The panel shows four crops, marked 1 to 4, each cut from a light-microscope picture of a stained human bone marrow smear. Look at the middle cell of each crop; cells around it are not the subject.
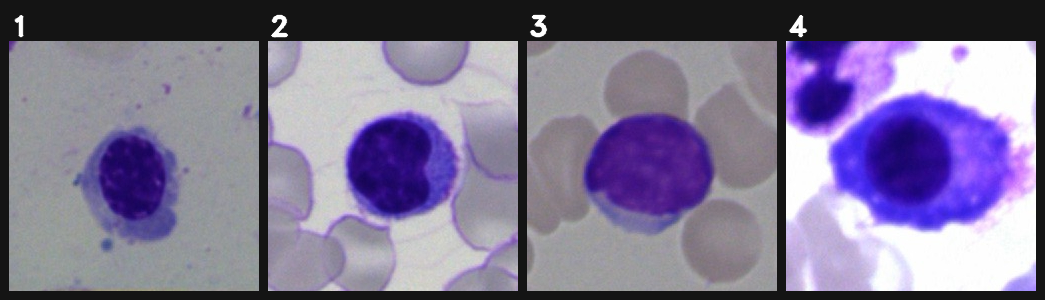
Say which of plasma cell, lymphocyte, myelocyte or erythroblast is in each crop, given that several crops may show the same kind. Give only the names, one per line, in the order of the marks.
erythroblast
lymphocyte
lymphocyte
plasma cell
